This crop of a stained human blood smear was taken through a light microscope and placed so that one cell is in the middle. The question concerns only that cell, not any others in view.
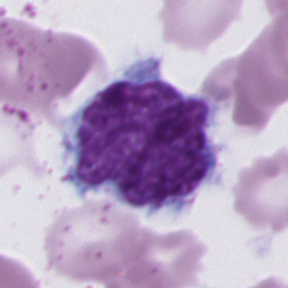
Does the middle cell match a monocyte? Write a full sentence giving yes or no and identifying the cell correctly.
Yes, the cell occupying the center is a monocyte.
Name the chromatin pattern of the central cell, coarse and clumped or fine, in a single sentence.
Chromatin in the nucleus here is coarsely clumped.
